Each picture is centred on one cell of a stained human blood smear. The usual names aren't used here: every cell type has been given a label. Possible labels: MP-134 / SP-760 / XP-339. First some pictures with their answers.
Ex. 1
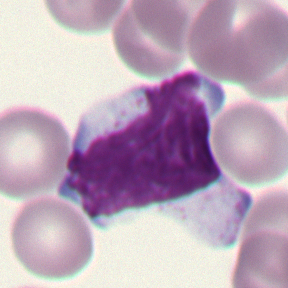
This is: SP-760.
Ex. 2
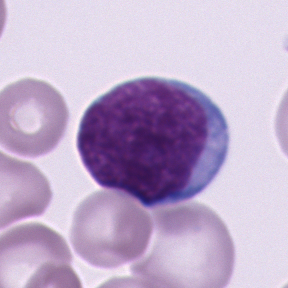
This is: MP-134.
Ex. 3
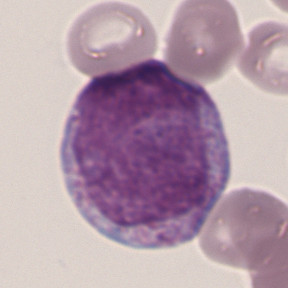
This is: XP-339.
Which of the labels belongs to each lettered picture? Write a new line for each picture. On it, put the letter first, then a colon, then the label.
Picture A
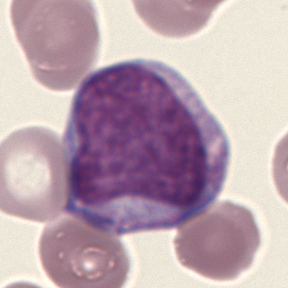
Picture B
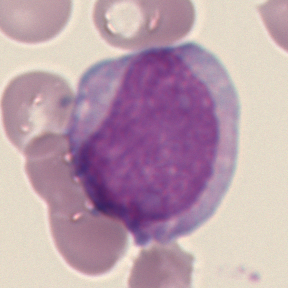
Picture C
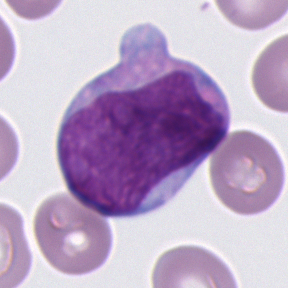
A: XP-339.
B: XP-339.
C: XP-339.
